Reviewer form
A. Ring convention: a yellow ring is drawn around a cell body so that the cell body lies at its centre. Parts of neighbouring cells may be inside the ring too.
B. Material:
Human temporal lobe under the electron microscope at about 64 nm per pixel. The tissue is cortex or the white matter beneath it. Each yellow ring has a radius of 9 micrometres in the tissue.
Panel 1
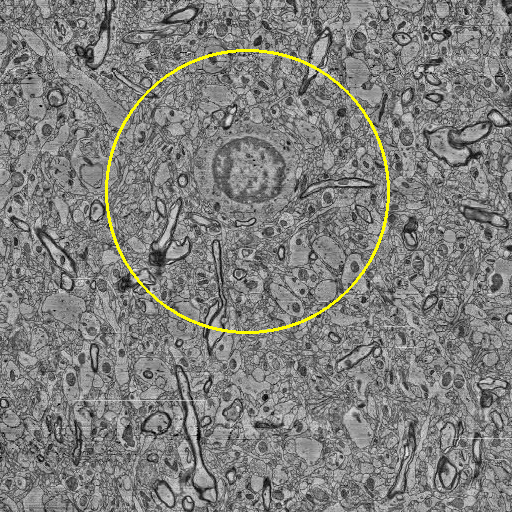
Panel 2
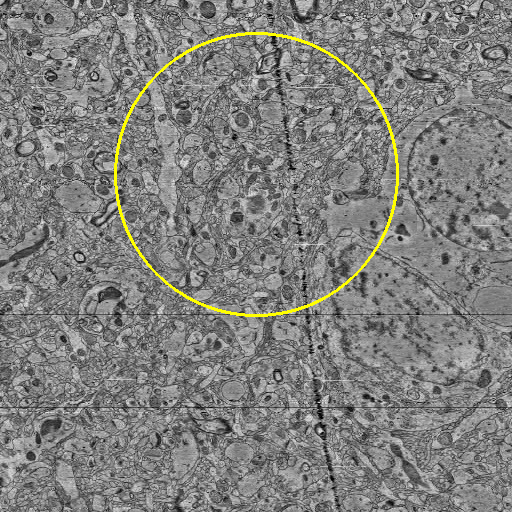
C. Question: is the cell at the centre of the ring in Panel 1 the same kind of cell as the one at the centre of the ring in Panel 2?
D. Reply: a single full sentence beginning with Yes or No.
No, the cells in Panel 1 and Panel 2 are two kinds of cell.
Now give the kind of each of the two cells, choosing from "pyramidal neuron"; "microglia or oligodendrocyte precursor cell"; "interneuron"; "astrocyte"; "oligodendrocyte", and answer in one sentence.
The cell in the first picture is an oligodendrocyte, and the cell in the second is a microglial cell or oligodendrocyte precursor cell.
